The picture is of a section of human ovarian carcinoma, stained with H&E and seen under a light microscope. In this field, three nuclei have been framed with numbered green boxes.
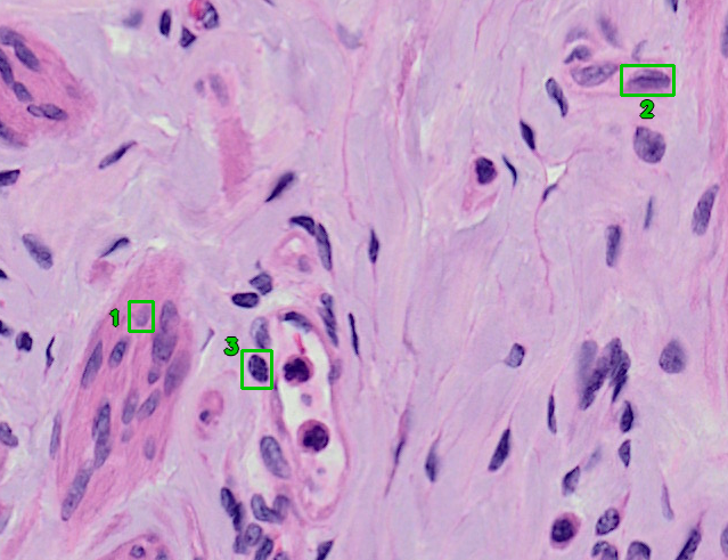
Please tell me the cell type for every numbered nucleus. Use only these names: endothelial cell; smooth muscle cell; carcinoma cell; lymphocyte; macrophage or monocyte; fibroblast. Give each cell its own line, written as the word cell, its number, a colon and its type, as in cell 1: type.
cell 1: smooth muscle cell
cell 2: endothelial cell
cell 3: lymphocyte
